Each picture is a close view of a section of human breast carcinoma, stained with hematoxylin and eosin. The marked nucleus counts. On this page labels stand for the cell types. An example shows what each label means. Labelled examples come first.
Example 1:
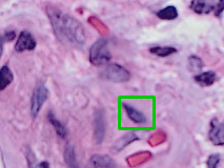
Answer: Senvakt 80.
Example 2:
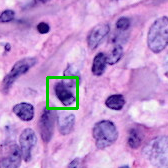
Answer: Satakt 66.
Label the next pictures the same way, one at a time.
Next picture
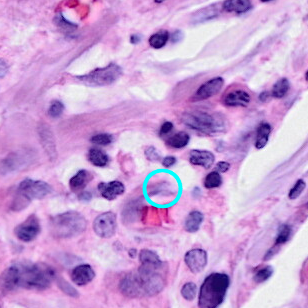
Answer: Senvakt 80.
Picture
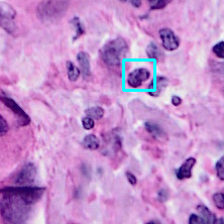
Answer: Satakt 66.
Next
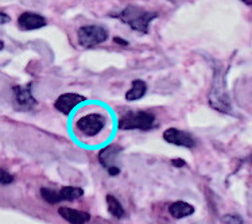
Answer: Satakt 66.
